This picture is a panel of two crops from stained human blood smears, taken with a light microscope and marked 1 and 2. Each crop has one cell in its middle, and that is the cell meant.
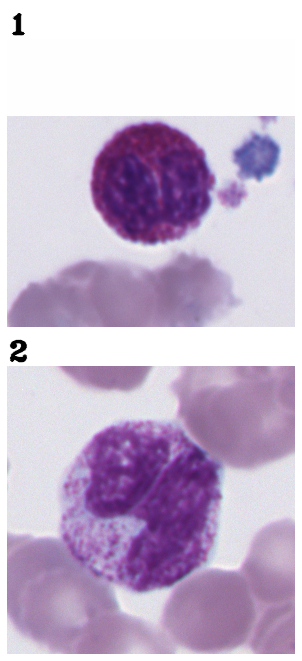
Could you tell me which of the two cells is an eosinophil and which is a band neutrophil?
1: eosinophil
2: band neutrophil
